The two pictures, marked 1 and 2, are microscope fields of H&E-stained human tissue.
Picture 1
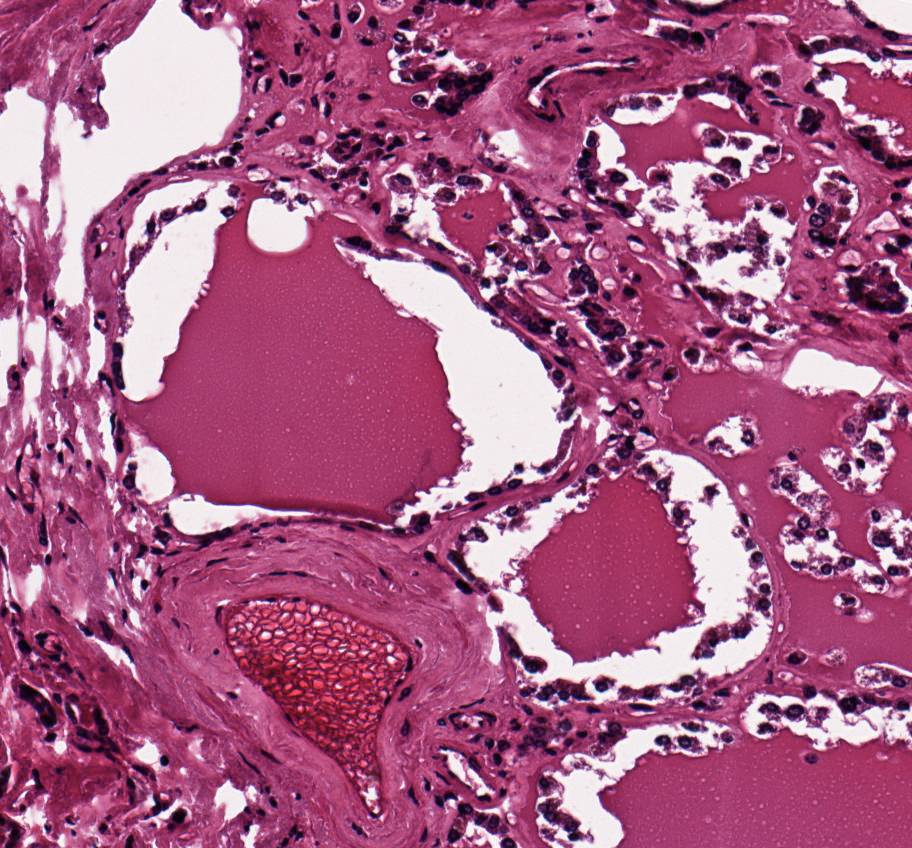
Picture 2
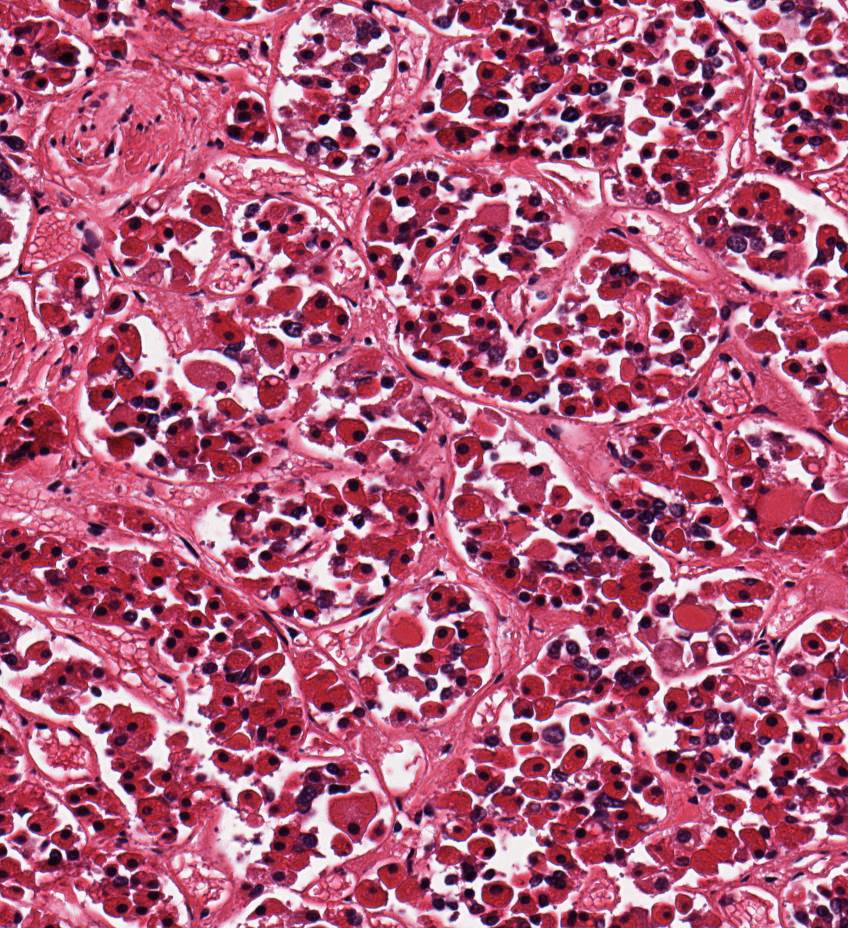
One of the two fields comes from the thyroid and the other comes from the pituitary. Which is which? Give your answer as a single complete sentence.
Picture 2 comes from the pituitary, while picture 1 comes from the thyroid.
